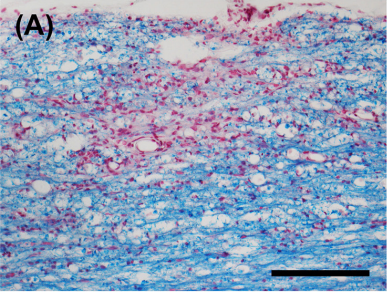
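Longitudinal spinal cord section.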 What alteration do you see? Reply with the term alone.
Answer: Demyelination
